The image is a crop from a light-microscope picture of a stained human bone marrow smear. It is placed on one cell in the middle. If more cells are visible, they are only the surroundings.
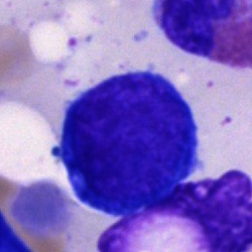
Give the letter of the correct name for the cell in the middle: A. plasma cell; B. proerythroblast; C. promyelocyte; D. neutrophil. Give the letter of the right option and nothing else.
B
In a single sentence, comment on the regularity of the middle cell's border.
The outline of this cell is not smooth but ragged or drawn out into projections.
